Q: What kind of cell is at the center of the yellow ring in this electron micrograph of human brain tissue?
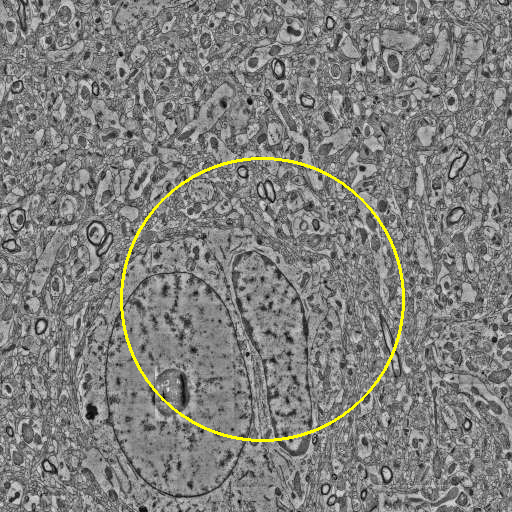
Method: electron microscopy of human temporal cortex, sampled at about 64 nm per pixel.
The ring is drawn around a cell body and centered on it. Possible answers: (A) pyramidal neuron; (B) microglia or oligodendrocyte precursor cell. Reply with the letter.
B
